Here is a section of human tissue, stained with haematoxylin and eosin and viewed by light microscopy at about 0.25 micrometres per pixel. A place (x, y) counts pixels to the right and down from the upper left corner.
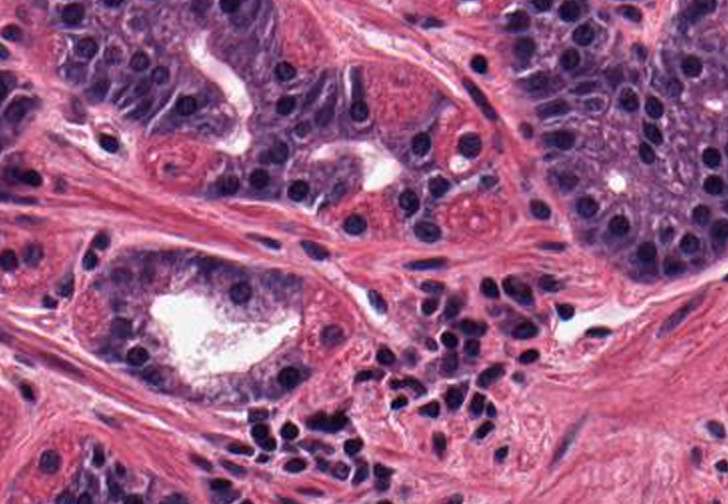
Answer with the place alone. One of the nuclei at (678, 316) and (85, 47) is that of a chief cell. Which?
(85, 47)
